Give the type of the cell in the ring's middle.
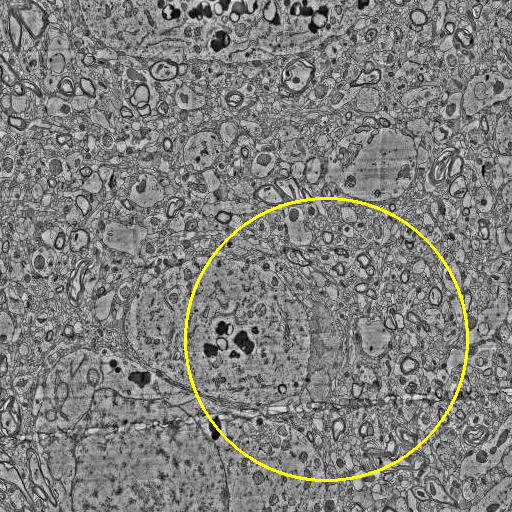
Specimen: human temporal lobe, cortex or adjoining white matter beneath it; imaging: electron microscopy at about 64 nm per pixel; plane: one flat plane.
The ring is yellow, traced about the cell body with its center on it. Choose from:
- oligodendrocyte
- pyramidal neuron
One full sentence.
Here, an oligodendrocyte is the cell lying at the center of the yellow ring.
